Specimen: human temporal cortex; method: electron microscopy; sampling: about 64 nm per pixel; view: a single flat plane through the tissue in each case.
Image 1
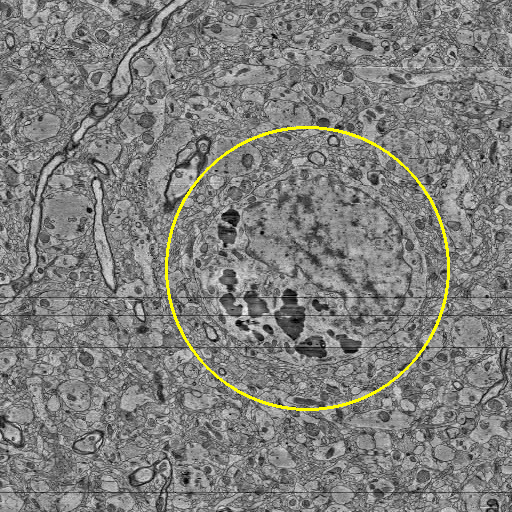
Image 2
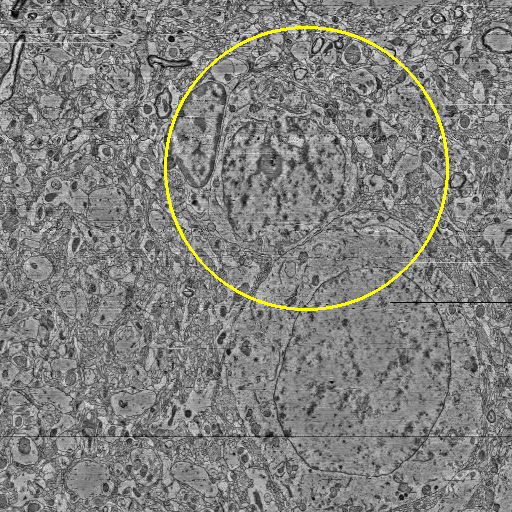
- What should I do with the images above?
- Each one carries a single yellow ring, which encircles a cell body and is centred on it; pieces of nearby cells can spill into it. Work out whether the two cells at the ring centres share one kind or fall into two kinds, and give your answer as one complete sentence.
The ring-centre cells of Image 1 and Image 2 share one kind.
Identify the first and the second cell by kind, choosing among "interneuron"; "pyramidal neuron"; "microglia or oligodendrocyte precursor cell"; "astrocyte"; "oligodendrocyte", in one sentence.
Each of the two pictures has an interneuron at the ring centre.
